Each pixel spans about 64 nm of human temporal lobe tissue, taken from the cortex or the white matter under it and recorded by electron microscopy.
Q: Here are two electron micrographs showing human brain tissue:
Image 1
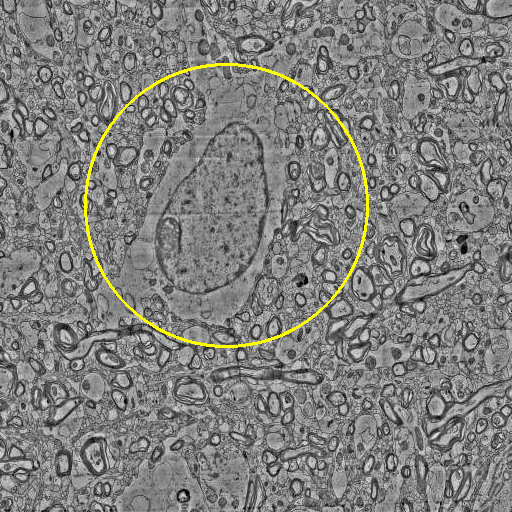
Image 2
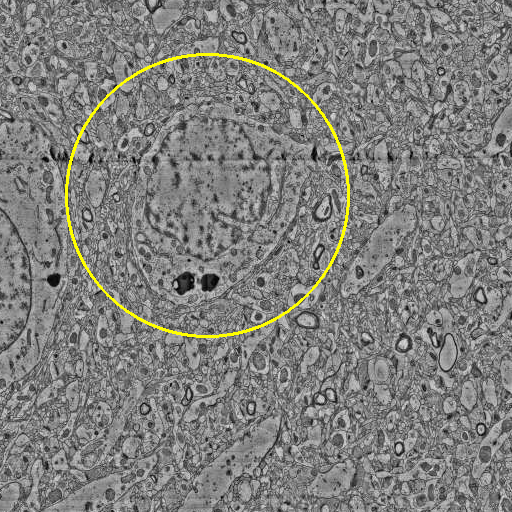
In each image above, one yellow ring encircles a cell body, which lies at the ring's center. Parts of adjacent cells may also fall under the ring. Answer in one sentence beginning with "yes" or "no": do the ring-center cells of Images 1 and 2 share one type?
No, in Images 1 and 2, the ring-center cells are of two types.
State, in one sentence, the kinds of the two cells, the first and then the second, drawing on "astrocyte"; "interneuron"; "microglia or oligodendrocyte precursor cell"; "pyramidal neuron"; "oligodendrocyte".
The ring in the second picture is centred on an interneuron, the ring in the first on an astrocyte.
